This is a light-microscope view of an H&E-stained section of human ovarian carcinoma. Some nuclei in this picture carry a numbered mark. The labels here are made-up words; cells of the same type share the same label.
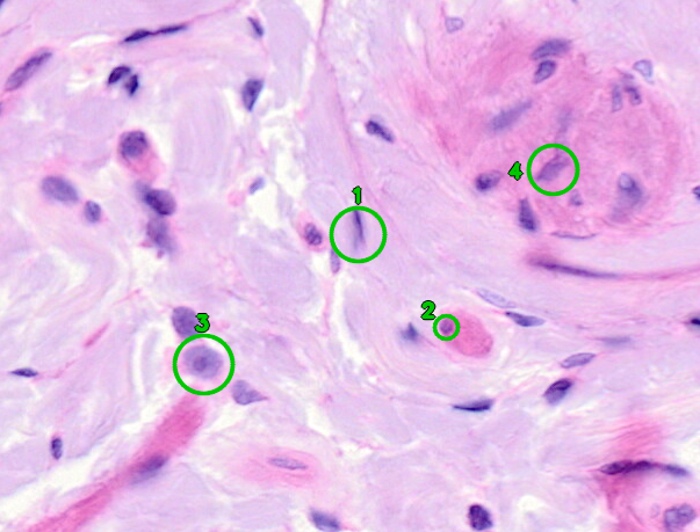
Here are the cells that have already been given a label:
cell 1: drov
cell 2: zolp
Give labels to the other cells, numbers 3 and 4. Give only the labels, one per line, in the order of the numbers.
drov
zolp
